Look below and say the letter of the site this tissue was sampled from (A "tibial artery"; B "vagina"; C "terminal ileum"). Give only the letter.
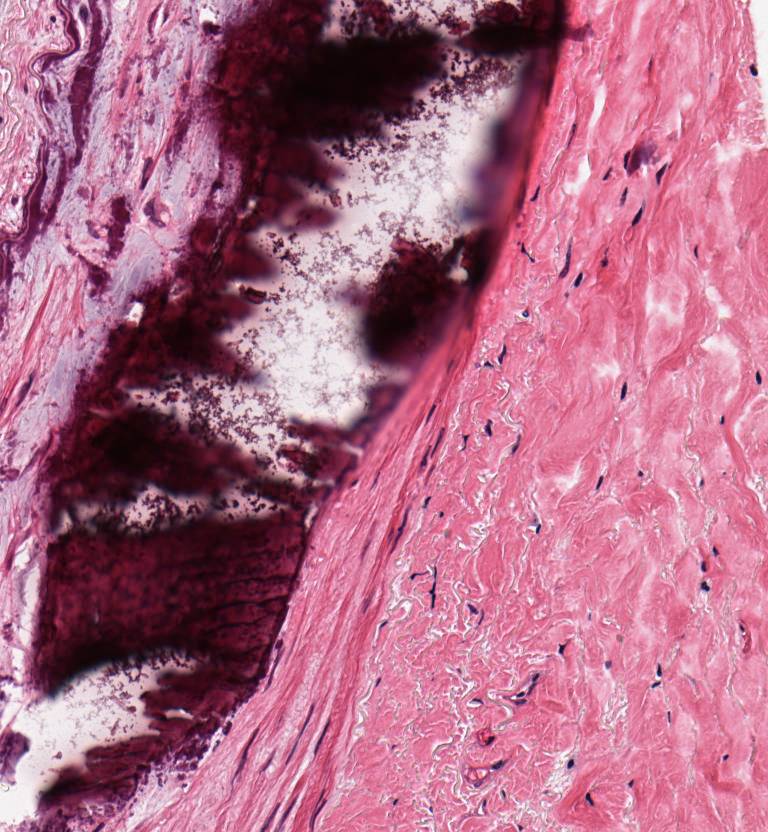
A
